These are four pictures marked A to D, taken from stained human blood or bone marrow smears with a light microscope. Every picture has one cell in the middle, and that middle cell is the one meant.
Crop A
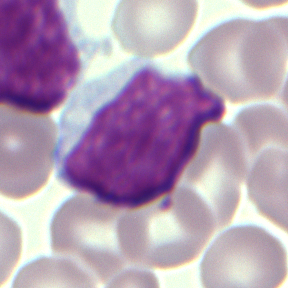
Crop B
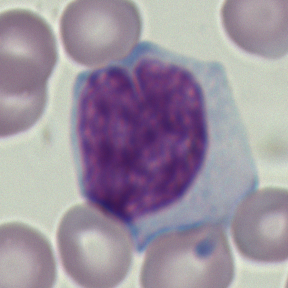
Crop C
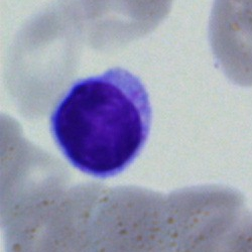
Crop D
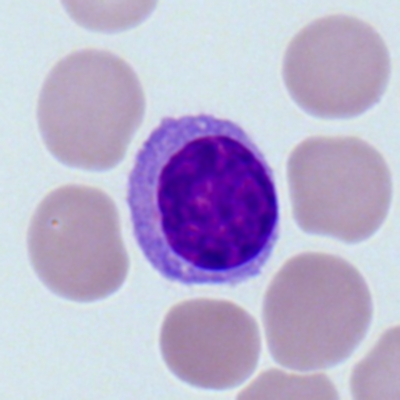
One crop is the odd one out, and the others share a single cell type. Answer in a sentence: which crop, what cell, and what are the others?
Found in all crops but one are lymphocytes; the exception, crop B, contains a blast.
